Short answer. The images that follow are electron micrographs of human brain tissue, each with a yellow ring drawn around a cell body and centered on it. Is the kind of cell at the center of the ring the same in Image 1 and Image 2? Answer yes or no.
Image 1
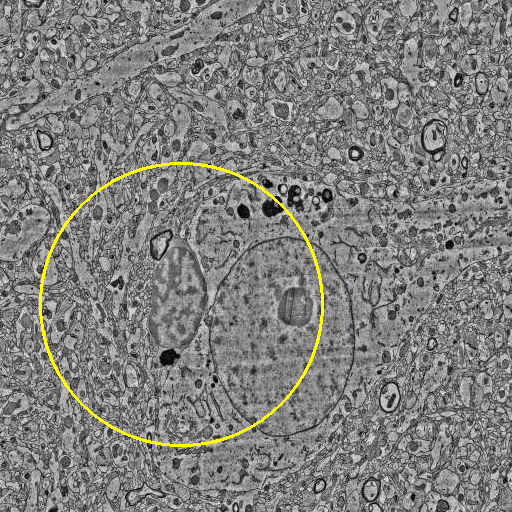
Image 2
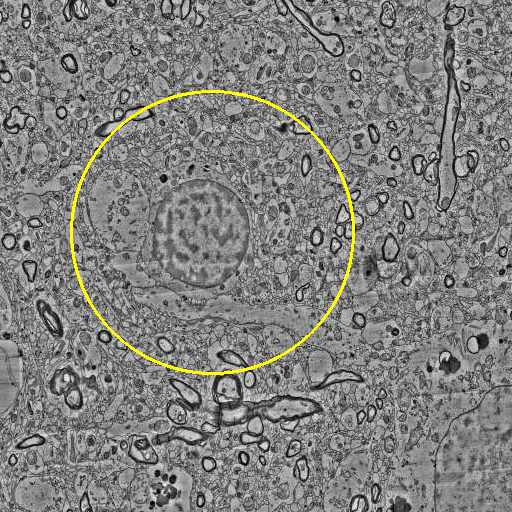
yes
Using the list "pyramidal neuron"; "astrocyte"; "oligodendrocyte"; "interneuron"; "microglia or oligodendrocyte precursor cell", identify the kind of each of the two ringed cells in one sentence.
The first and the second cell are each an oligodendrocyte.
